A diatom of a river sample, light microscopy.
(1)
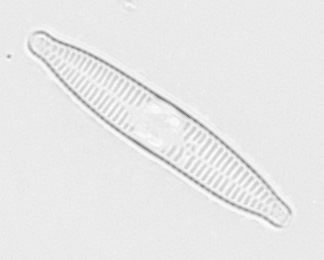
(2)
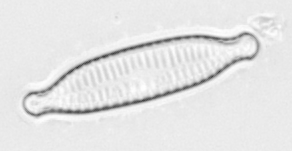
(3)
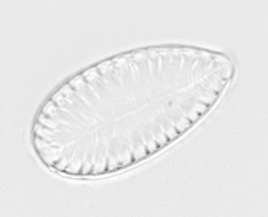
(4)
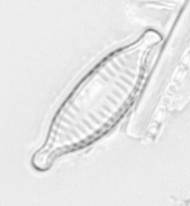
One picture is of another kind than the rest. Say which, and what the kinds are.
Picture 3 shows Surirella; the rest show Fragilaria.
